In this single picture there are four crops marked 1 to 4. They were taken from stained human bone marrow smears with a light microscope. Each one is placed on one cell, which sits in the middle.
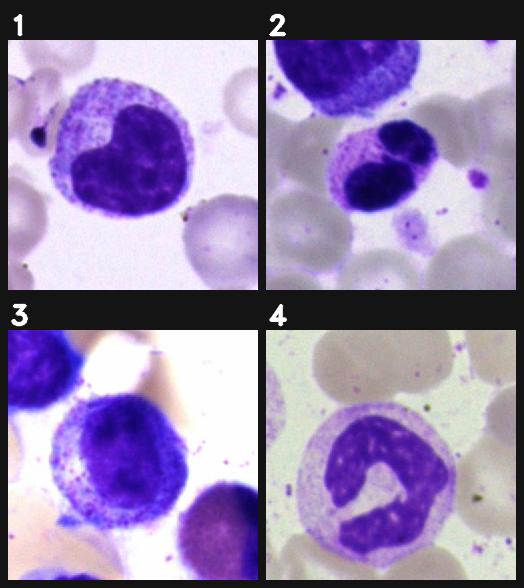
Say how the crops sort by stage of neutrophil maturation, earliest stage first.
3, 1, 4, 2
